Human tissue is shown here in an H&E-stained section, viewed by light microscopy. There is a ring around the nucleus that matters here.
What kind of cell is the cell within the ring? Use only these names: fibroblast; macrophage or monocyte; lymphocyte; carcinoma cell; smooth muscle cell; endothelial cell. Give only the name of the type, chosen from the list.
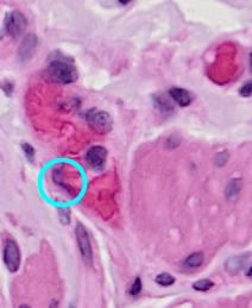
endothelial cell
